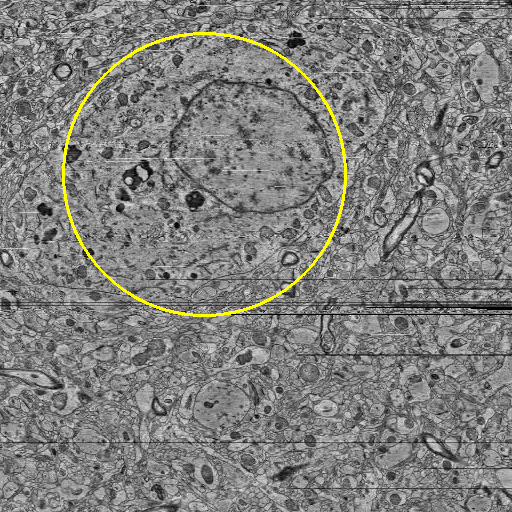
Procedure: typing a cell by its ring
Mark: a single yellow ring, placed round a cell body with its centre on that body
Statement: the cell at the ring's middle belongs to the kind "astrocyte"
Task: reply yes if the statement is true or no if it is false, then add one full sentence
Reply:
No, this is false: the cell at the ring's centre in the picture belongs to some other kind.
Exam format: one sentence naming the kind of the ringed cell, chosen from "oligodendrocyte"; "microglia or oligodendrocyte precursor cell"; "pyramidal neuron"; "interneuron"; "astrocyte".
The cell ringed in the picture is a pyramidal neuron.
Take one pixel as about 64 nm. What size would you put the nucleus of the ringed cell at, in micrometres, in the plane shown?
About 10 by 9 micrometers, in this plane.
